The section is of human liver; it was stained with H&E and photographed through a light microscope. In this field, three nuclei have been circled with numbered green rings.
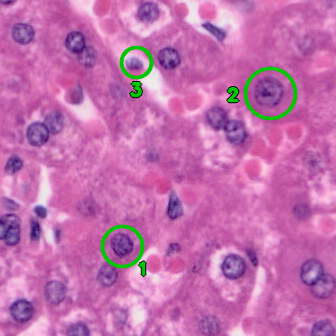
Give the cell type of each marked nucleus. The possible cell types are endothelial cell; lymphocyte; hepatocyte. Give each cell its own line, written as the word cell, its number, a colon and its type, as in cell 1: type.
cell 1: hepatocyte
cell 2: hepatocyte
cell 3: lymphocyte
